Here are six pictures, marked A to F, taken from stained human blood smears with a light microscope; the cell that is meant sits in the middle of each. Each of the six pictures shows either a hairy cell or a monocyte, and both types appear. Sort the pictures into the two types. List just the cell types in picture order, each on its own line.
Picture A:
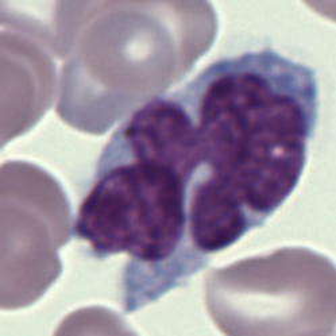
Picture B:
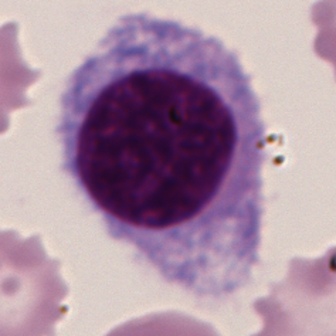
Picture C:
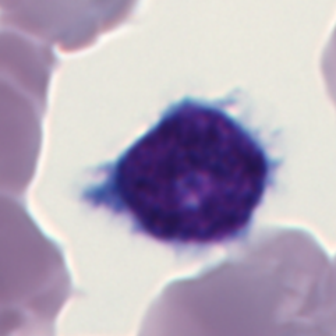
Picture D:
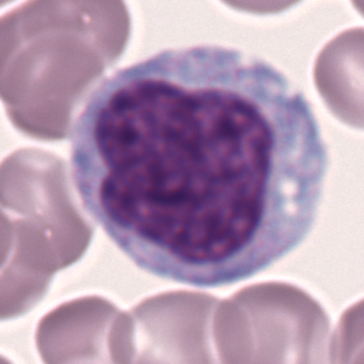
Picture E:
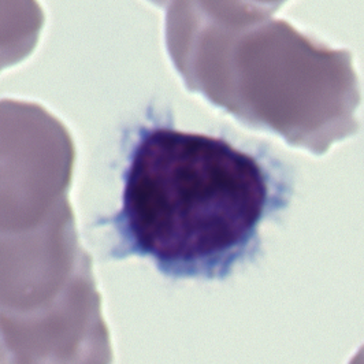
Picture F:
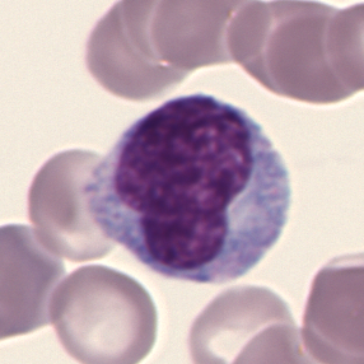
monocyte
hairy cell
hairy cell
monocyte
hairy cell
monocyte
